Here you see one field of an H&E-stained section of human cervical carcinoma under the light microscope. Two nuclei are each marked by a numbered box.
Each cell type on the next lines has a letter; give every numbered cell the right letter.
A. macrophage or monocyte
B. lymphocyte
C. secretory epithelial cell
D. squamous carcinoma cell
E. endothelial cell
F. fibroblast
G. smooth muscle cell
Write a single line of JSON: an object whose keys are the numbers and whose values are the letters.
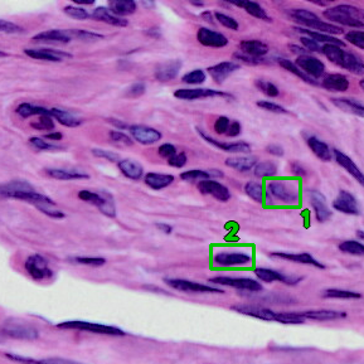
{"1": "E", "2": "B"}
